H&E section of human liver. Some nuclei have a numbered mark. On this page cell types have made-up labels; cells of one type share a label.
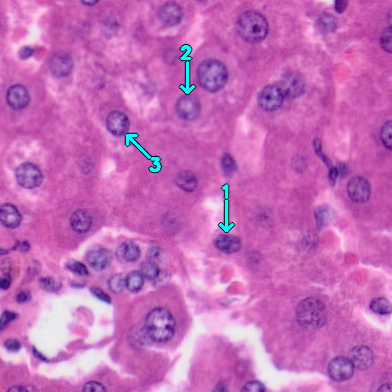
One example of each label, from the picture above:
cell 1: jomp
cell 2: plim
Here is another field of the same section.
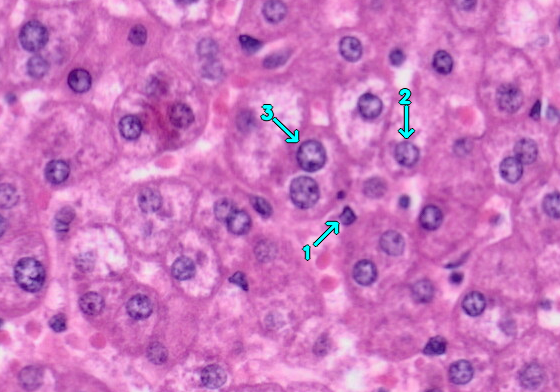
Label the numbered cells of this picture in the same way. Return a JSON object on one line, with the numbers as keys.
{"1": "jomp", "2": "plim", "3": "plim"}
